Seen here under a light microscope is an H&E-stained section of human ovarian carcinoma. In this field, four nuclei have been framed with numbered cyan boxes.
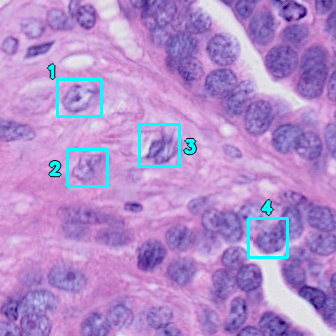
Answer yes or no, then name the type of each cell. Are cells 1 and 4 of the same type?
No, the cell numbered 1 is a fibroblast and the cell numbered 4 is a carcinoma cell.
